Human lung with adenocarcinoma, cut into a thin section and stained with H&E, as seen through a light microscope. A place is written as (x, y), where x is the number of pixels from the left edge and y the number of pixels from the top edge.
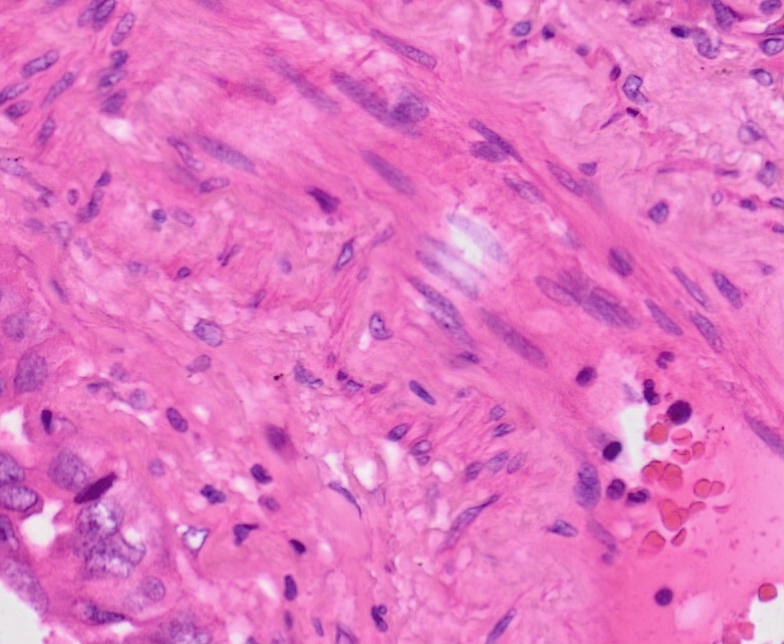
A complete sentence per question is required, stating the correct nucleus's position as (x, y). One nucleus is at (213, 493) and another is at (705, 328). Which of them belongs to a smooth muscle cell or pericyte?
Among the two nuclei, the one found at (705, 328) belongs to a smooth muscle cell or pericyte.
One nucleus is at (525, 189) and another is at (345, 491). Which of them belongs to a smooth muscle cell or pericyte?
So, of the two, the nucleus at (525, 189) is the one belonging to a smooth muscle cell or pericyte.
